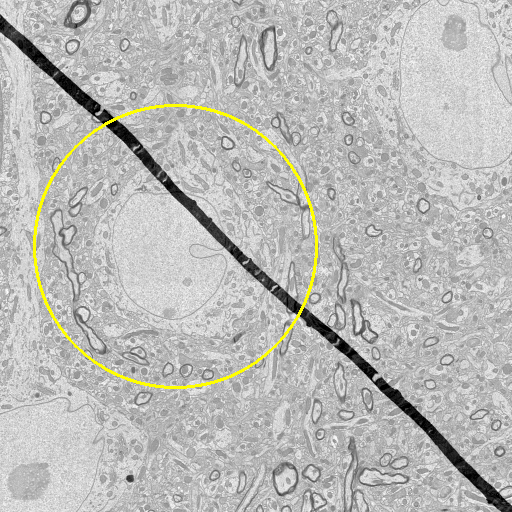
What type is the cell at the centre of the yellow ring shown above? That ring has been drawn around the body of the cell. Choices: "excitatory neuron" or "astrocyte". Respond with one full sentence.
My answer is that an excitatory neuron lies at the centre of the yellow ring above.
